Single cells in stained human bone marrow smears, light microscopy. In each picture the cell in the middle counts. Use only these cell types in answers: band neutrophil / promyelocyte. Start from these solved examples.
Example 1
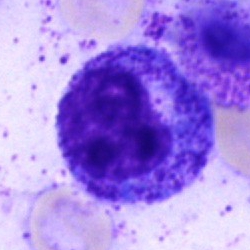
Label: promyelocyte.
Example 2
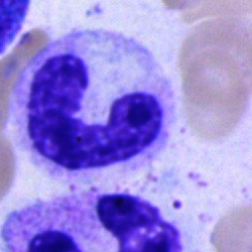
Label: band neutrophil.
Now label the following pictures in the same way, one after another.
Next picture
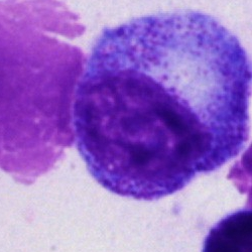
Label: promyelocyte.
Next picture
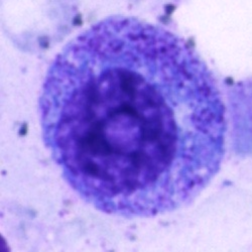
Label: promyelocyte.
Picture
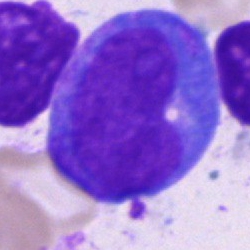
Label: promyelocyte.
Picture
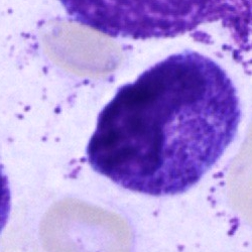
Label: promyelocyte.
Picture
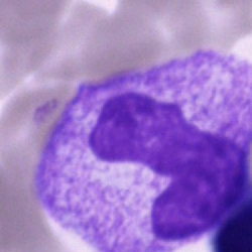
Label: band neutrophil.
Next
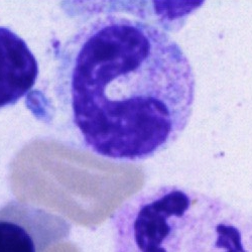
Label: band neutrophil.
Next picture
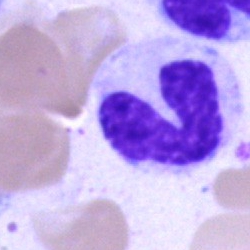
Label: band neutrophil.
